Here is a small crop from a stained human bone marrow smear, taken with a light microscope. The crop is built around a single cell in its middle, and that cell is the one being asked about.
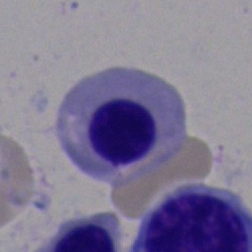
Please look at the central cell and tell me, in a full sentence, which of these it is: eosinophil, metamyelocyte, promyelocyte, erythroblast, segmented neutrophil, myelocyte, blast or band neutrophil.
Present in the middle of the crop is an erythroblast.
